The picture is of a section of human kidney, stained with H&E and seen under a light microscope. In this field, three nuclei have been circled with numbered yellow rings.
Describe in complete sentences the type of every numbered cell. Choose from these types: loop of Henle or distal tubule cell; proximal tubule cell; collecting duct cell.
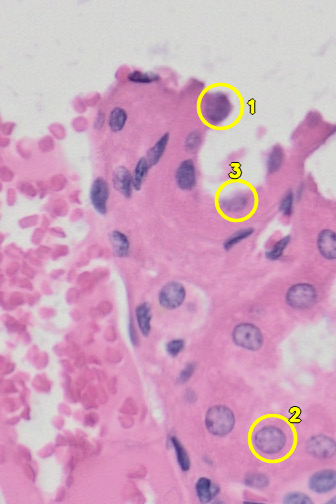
Cell 1 is a loop of Henle or distal tubule cell, cell 2 is a proximal tubule cell and cell 3 is a loop of Henle or distal tubule cell.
